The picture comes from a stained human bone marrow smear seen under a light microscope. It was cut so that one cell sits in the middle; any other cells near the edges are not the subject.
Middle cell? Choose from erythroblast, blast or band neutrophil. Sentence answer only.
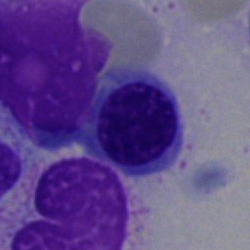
The cell of interest, located centrally, is an erythroblast.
